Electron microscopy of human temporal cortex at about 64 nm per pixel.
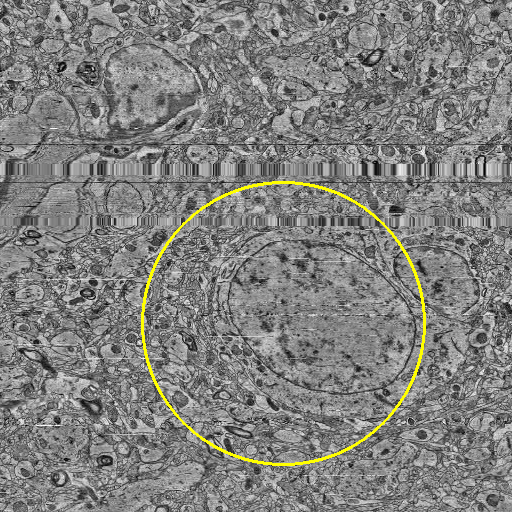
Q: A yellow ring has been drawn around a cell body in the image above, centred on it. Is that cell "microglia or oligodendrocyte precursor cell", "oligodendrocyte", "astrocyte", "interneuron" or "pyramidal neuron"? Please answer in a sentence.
The ring surrounds the cell body of a pyramidal neuron.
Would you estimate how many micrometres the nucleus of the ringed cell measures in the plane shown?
Roughly 12 micrometres by 10 micrometres, in this plane.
